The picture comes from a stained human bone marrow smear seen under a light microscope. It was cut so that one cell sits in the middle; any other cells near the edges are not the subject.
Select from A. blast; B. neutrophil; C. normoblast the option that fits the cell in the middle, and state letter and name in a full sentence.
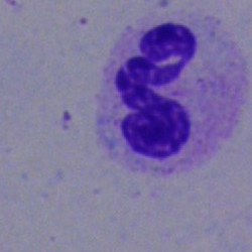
The correct response is option B, naming the cell in the middle as a neutrophil.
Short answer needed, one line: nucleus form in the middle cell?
What stands out is the nucleus, split into two or more lobes.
